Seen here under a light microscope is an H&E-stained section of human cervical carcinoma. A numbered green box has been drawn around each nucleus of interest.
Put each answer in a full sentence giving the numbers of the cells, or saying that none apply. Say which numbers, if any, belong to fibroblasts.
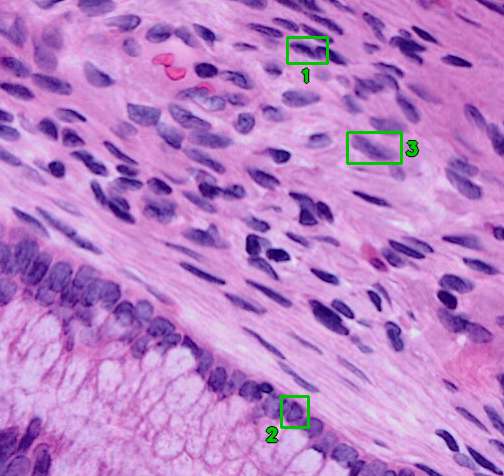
When it comes to cells 1 and 3, they are fibroblasts.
